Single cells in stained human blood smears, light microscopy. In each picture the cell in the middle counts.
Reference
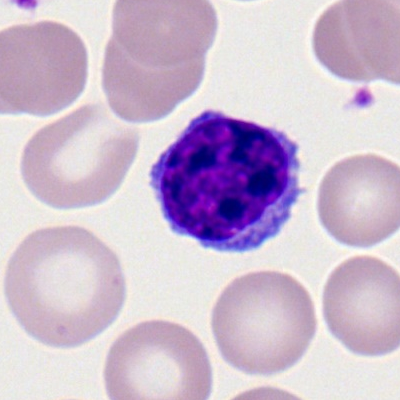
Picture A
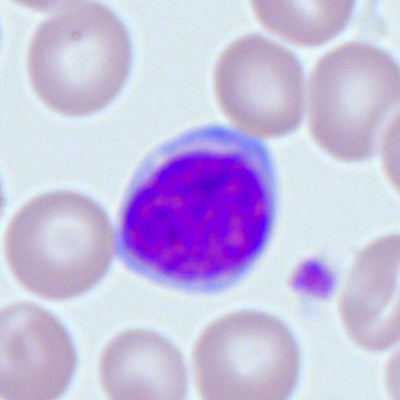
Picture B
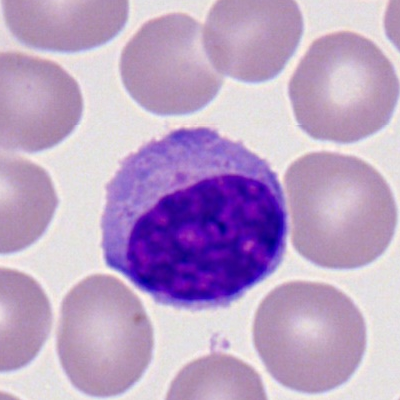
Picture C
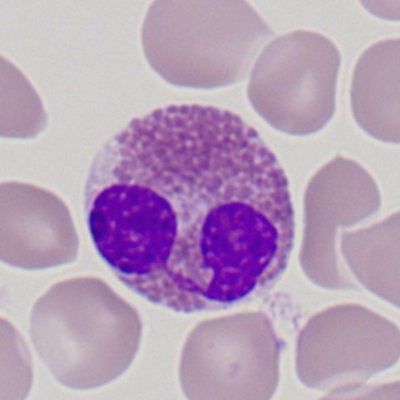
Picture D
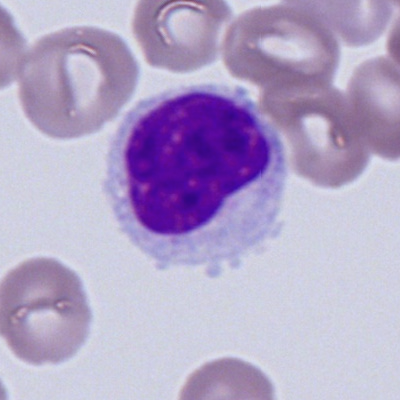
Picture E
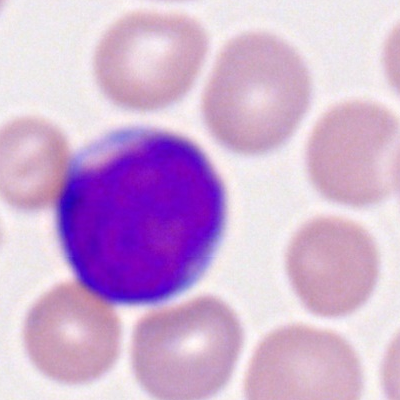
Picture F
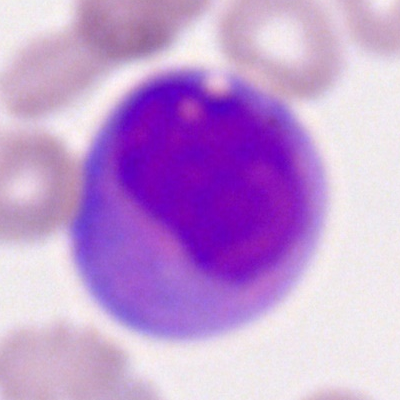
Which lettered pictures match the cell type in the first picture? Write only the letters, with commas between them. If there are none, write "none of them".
A, B, D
